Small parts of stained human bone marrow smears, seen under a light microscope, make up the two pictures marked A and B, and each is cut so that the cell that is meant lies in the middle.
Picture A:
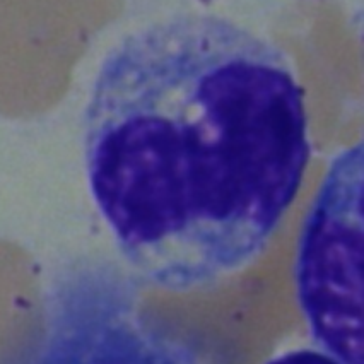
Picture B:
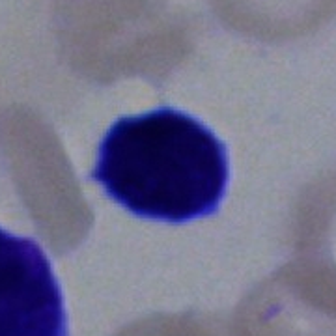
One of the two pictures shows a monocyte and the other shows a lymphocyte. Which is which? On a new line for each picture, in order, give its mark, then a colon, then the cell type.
A: monocyte
B: lymphocyte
